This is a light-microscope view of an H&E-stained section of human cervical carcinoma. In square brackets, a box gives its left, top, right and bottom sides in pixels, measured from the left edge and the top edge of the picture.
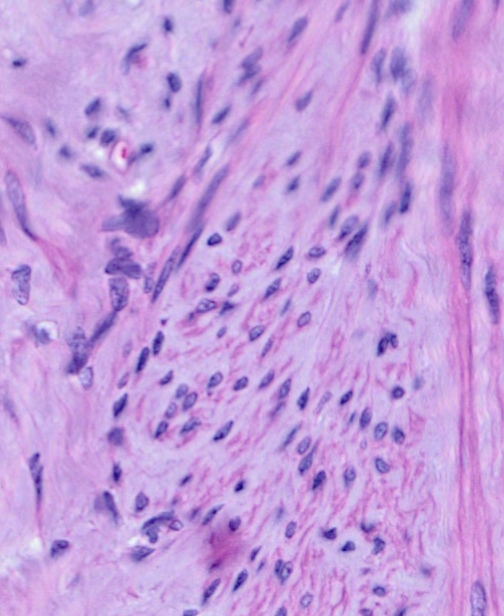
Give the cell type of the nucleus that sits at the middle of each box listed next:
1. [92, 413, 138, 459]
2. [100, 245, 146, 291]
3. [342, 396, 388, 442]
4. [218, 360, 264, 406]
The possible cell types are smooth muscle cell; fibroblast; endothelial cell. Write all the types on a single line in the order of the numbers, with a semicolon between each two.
smooth muscle cell; fibroblast; smooth muscle cell; smooth muscle cell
